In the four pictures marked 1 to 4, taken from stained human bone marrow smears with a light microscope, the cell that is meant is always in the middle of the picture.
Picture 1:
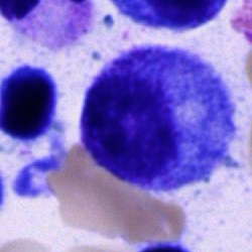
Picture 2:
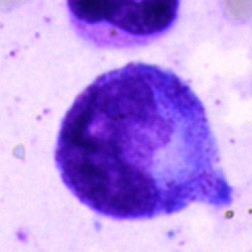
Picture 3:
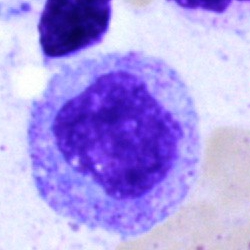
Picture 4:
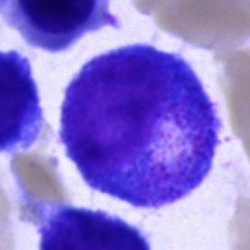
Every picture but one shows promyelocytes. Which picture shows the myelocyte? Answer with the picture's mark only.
3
